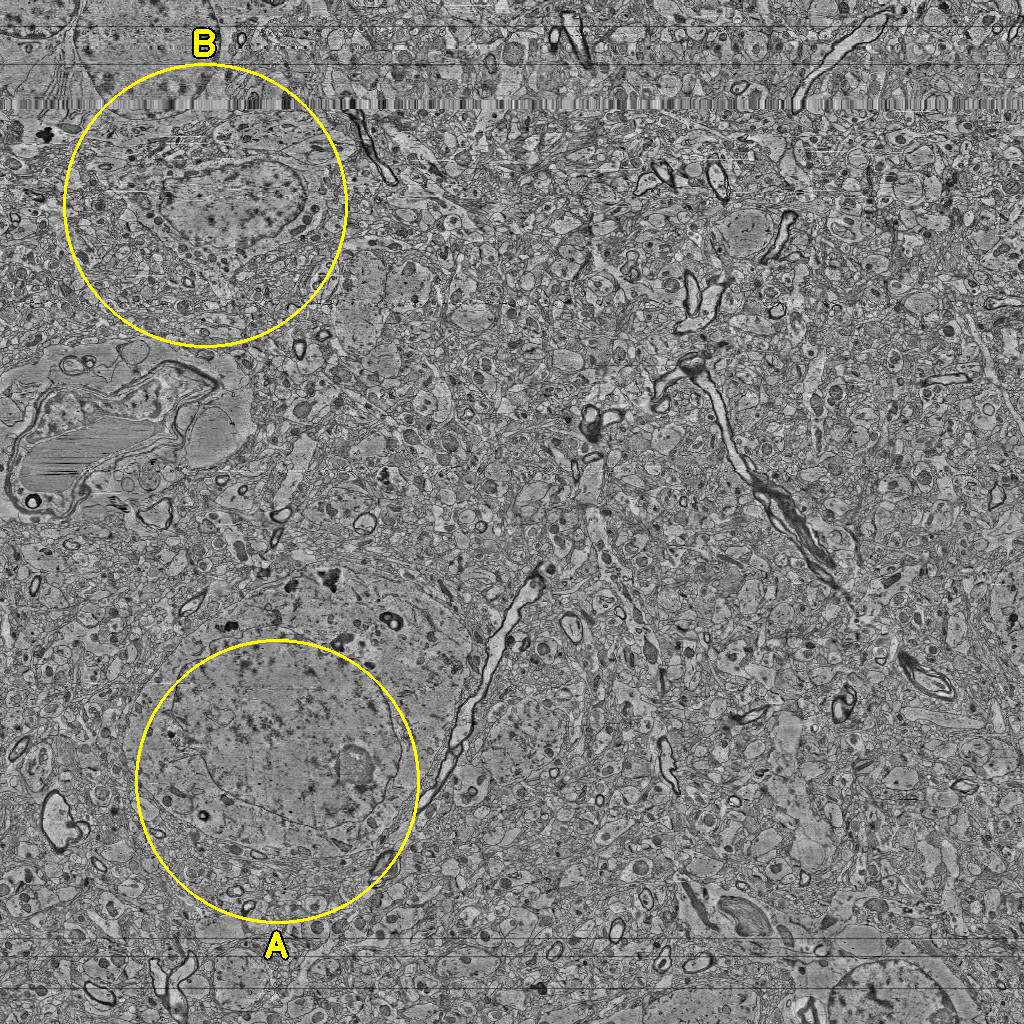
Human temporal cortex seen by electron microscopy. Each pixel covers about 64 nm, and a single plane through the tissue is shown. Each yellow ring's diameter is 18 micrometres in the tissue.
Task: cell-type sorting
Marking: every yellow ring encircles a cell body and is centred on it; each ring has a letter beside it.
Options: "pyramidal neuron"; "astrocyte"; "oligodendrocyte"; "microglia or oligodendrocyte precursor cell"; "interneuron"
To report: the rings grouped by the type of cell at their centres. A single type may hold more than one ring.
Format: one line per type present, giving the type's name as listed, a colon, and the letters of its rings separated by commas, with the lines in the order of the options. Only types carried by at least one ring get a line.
pyramidal neuron: A
interneuron: B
